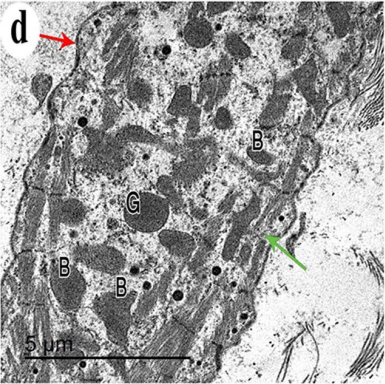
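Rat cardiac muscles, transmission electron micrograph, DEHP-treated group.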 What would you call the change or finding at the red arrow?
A: Corrugated sarcolemma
